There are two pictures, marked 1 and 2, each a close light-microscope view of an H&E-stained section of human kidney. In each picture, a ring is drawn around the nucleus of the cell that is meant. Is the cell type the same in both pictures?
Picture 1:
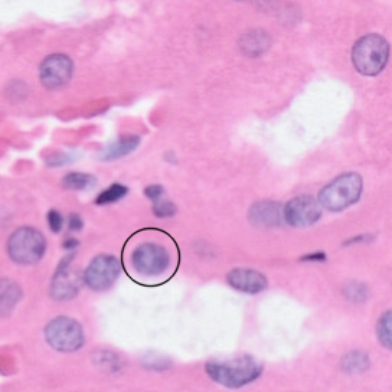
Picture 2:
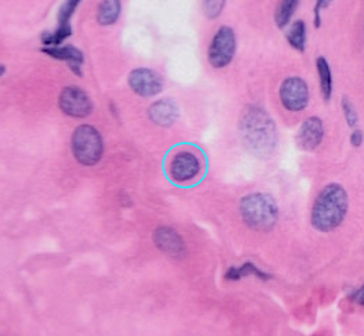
yes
